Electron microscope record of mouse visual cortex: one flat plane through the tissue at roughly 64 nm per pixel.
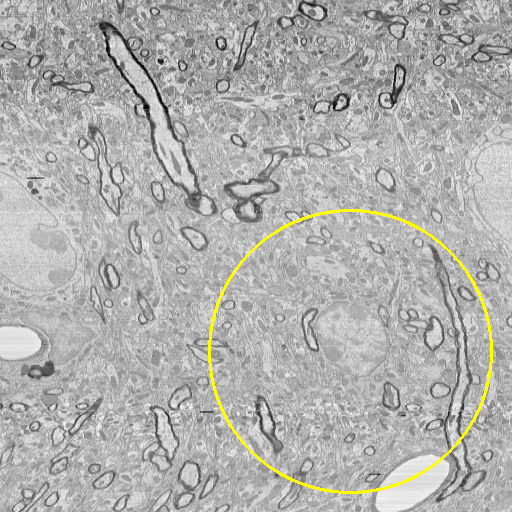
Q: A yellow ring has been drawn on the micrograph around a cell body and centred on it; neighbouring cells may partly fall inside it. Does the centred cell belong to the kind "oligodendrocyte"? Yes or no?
Yes, it belongs to that kind.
